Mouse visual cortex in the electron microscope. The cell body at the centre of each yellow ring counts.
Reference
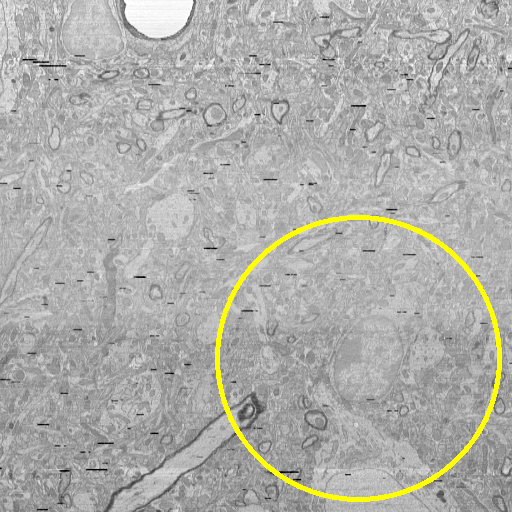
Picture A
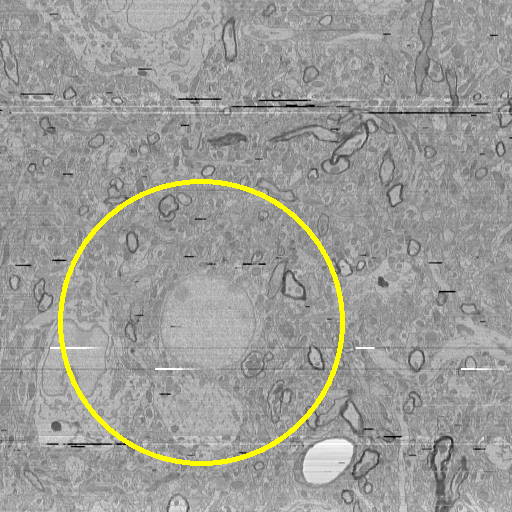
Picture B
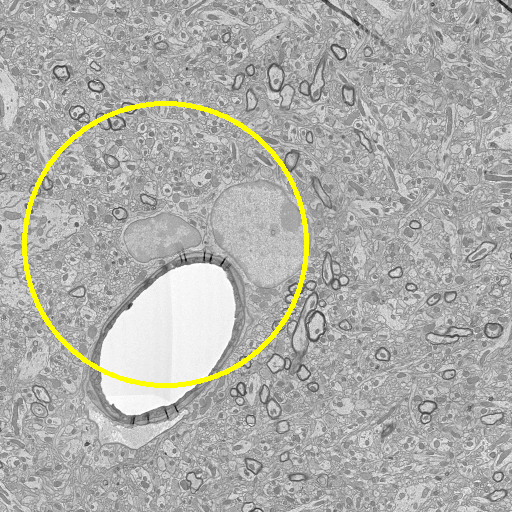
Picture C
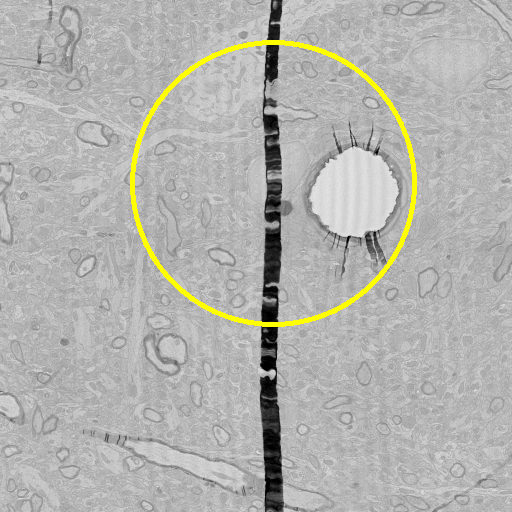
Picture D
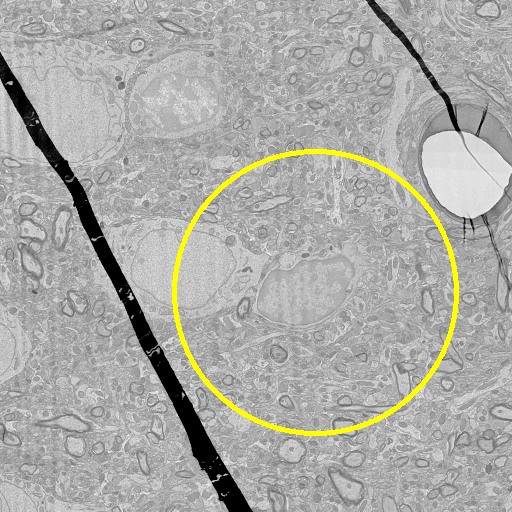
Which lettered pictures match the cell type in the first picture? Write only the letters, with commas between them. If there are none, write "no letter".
no letter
